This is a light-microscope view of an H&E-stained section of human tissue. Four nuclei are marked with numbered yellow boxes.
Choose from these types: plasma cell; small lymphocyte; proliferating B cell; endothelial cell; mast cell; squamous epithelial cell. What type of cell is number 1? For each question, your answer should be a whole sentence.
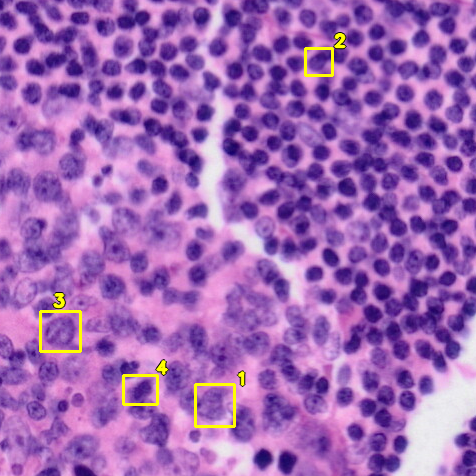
Of the numbered cells, the one labelled 1 is a proliferating B cell.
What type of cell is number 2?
That cell with number 2 is a small lymphocyte.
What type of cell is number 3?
Cell number 3 in this section is a proliferating B cell.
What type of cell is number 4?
Belonging to a proliferating B cell is the nucleus that carries the number 4.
